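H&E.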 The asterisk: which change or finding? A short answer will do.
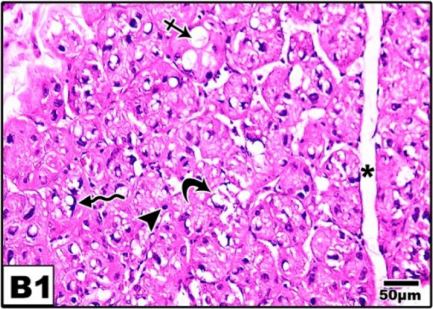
Widening of connective tissue septa.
